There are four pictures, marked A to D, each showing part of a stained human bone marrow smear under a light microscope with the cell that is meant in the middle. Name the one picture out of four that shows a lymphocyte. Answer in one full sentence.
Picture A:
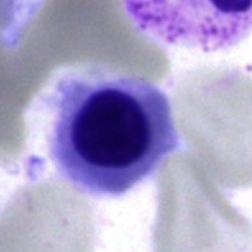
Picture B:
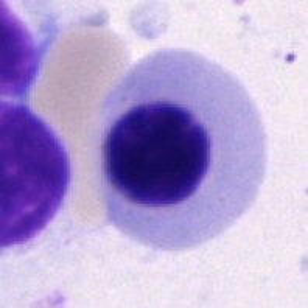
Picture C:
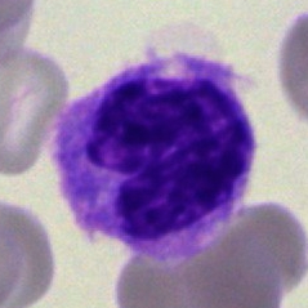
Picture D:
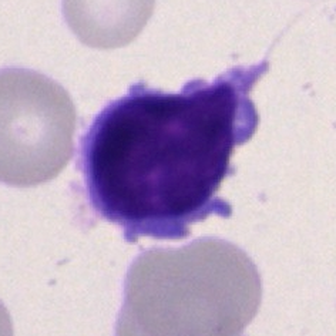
The cell in picture D is the lymphocyte.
